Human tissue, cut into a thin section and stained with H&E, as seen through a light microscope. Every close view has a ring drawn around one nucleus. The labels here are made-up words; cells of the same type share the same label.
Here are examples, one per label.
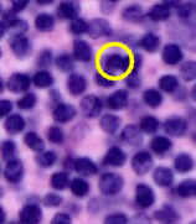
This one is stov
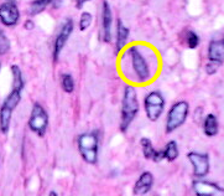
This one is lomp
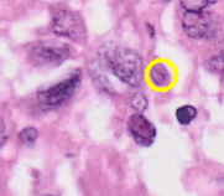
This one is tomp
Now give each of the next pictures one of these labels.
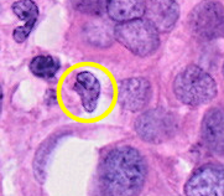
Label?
tomp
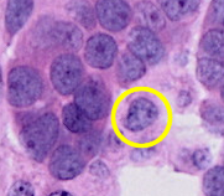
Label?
tomp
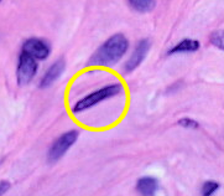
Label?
lomp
